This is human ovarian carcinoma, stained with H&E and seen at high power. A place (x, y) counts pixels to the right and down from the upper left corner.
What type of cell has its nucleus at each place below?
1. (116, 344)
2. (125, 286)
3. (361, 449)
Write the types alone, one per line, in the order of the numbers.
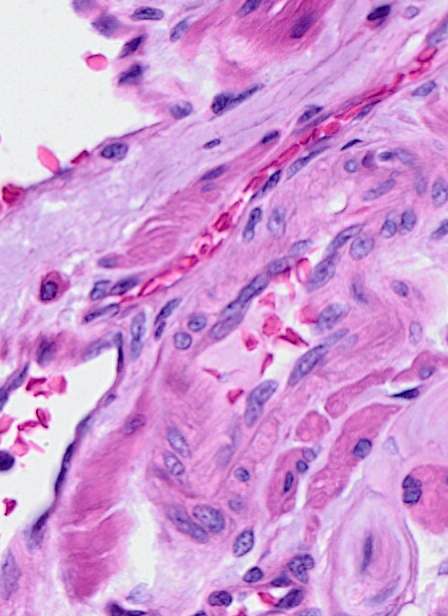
endothelial cell
endothelial cell
smooth muscle cell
